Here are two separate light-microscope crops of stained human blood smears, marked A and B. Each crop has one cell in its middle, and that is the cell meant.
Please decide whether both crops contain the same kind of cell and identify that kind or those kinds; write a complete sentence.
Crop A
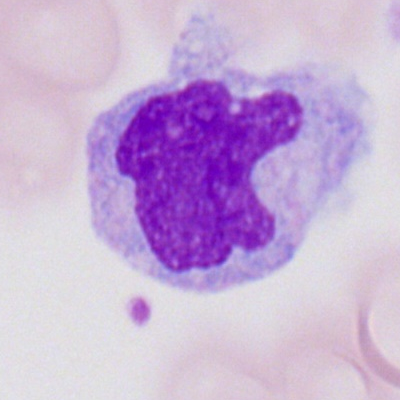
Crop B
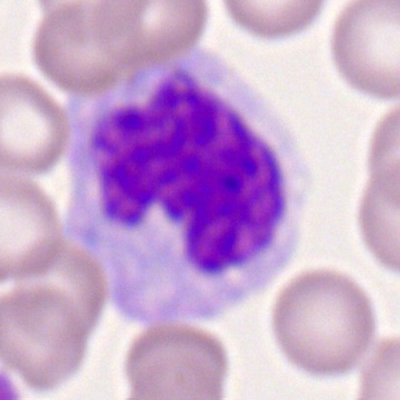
Yes, both crops show monocytes, and nothing else needs adding.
